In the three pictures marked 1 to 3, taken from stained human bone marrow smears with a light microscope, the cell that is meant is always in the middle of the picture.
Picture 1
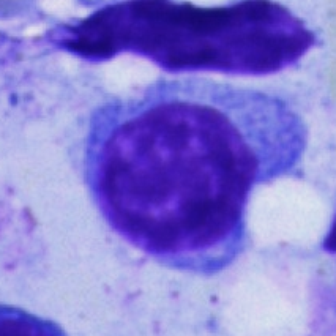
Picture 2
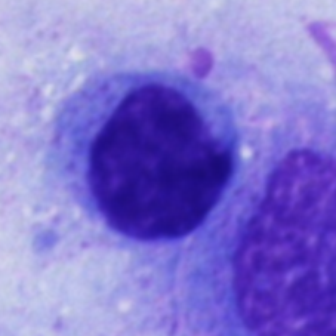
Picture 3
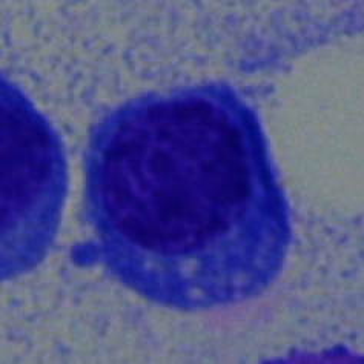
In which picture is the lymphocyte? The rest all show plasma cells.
1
